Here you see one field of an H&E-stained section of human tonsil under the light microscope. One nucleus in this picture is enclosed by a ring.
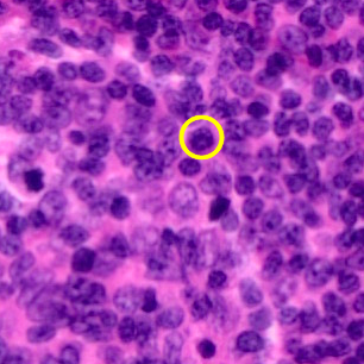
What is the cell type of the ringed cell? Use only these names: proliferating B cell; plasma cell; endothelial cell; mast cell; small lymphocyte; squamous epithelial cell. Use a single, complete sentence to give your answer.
Within the stained tissue, the ringed cell is a proliferating B cell.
